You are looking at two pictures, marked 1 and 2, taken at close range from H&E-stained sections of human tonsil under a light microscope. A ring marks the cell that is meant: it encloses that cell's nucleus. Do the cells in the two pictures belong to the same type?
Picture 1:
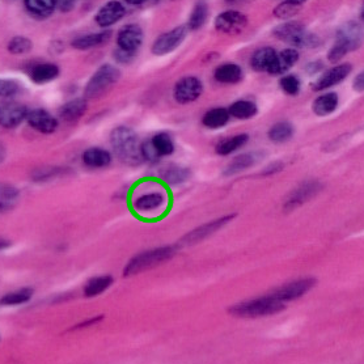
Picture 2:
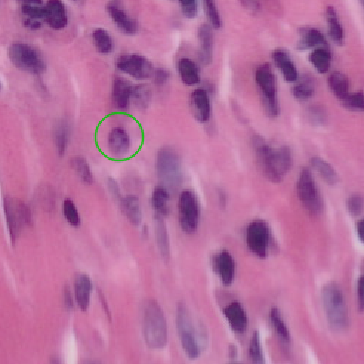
yes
